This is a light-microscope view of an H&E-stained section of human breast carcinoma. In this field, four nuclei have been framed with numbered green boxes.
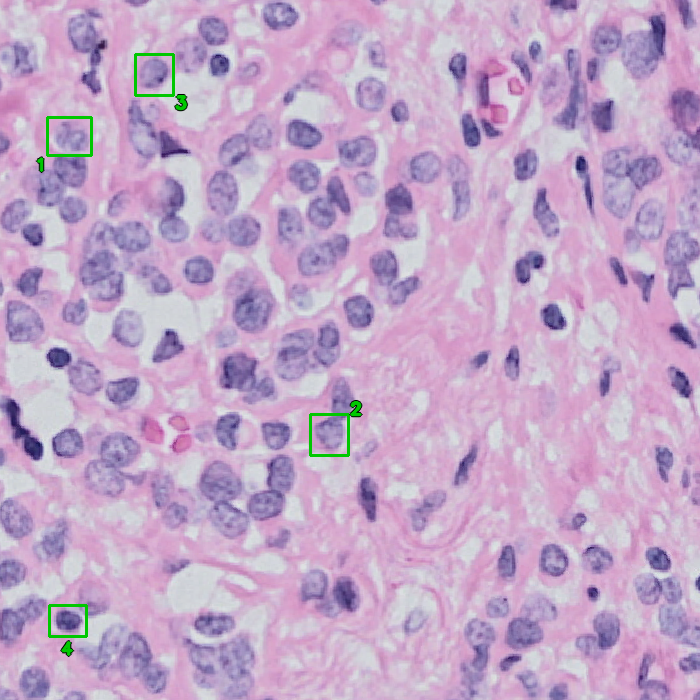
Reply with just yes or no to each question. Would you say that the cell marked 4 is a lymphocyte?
yes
